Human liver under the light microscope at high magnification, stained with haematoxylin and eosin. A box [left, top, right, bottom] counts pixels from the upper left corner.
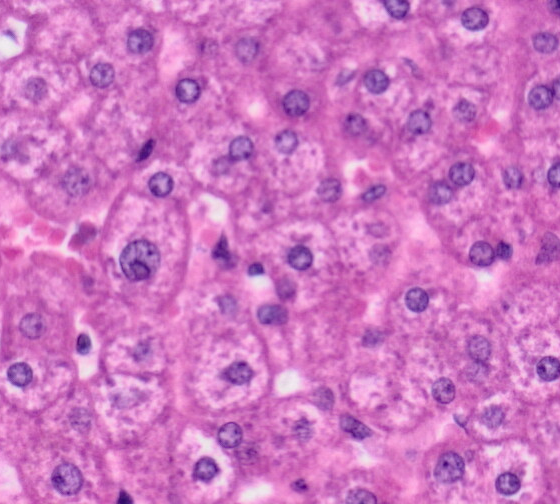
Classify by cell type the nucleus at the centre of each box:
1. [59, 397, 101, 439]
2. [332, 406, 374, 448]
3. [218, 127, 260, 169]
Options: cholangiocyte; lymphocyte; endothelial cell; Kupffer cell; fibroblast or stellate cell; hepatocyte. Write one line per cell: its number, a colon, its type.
1: hepatocyte
2: Kupffer cell
3: hepatocyte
